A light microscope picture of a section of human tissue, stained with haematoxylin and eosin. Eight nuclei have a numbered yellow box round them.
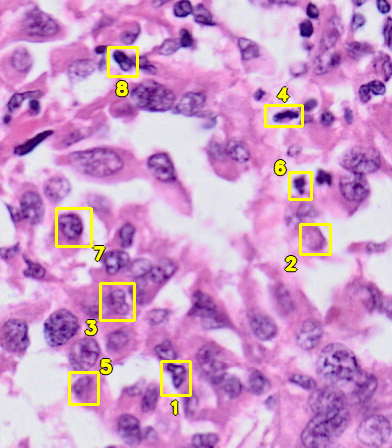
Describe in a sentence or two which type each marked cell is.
Cells 1, 2, 3, 5 and 7 are melanoma cells. Cells 4, 6 and 8 are lymphocytes.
